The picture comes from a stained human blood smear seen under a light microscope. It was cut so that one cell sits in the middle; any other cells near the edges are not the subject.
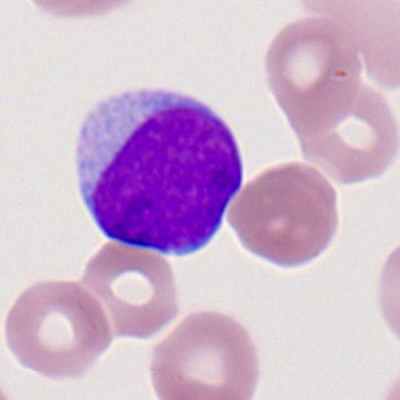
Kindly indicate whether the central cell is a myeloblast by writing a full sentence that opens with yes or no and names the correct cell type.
Yes, a myeloblast is the cell positioned in the middle of the field.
